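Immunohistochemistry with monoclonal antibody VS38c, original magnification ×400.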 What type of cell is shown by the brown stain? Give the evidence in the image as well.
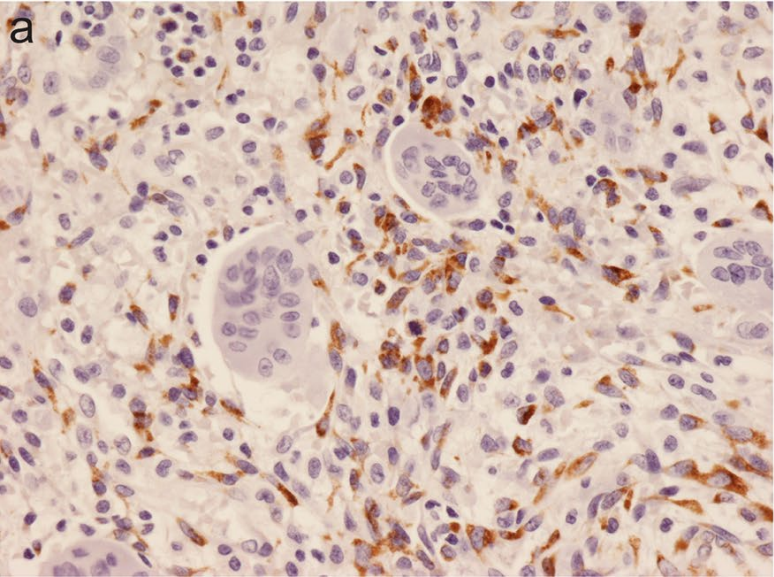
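Brown cytoplasmic stain lies in small cells that each have a single nucleus. The stained cells are spindle-shaped to ovoid and scattered between large unstained cells.
Hence: mononuclear cells.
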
